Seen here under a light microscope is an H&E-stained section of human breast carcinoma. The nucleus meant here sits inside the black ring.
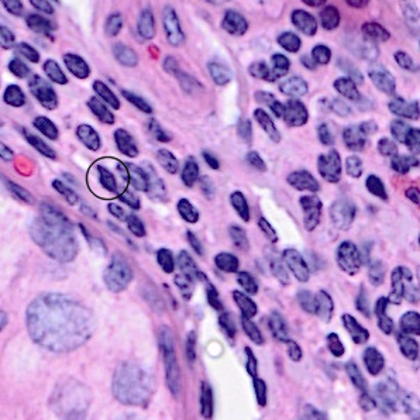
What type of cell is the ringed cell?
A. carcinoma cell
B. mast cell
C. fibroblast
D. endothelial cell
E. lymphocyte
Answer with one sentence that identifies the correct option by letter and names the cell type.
Of the options given, E is right: the ringed cell is a lymphocyte.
